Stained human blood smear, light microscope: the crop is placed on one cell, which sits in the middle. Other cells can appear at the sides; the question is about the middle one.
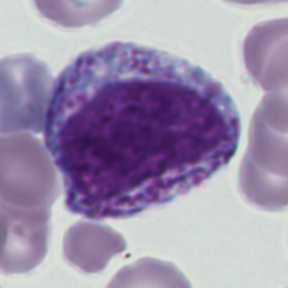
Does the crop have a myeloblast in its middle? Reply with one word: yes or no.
no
